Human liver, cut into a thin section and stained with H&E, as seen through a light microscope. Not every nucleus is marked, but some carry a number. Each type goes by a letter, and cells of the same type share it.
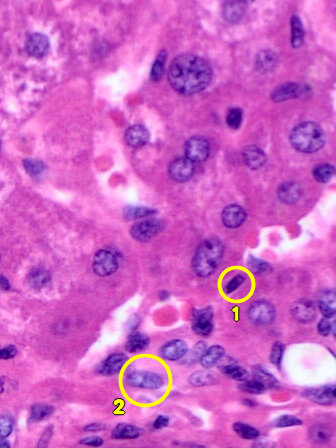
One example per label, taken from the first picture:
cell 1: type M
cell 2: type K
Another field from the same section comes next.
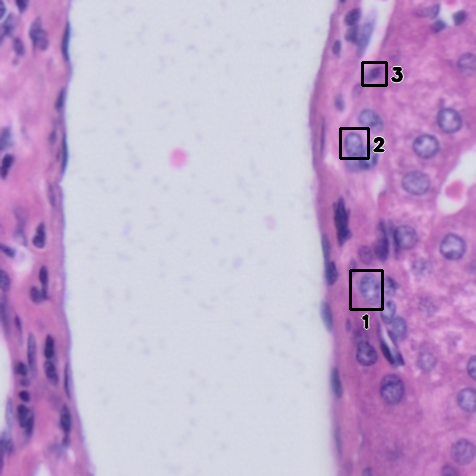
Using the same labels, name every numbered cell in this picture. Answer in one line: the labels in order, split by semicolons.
type K; type K; type M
